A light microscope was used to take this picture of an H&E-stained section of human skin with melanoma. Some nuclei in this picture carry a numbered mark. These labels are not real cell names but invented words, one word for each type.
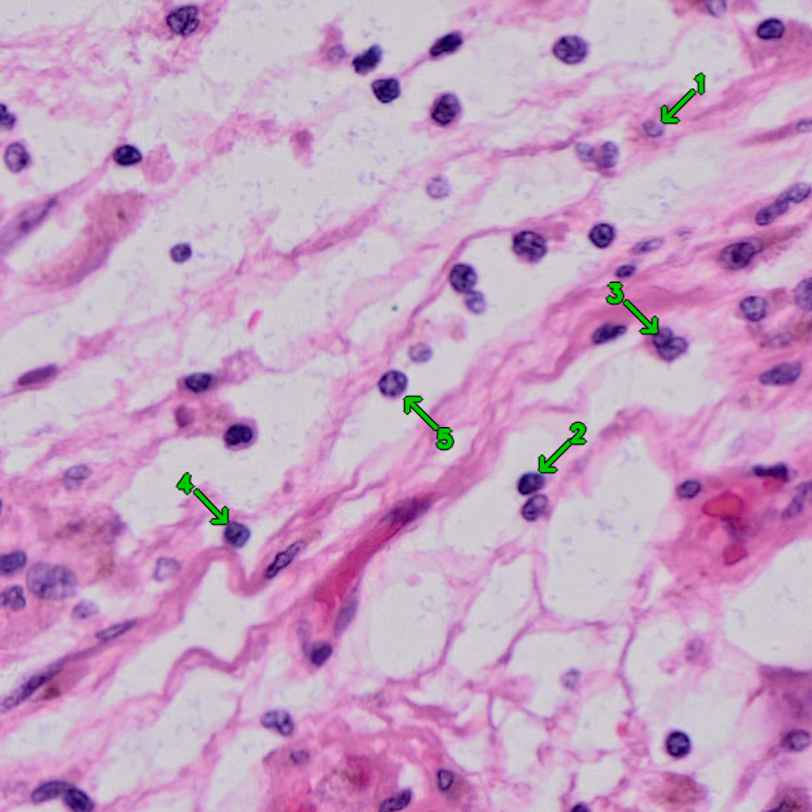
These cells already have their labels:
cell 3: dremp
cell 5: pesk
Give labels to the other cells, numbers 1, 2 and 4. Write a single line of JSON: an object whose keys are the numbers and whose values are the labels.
{"1": "dremp", "2": "pesk", "4": "pesk"}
